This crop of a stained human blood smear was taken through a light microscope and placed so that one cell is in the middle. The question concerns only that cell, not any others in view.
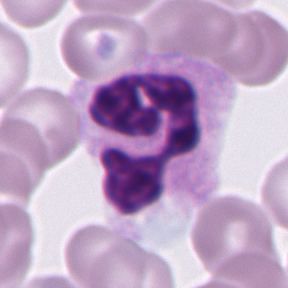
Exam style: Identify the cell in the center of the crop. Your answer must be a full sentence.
As for the cell in the middle, it is a segmented neutrophil.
